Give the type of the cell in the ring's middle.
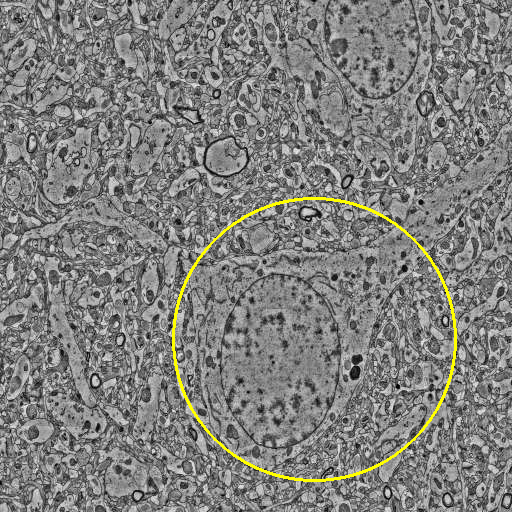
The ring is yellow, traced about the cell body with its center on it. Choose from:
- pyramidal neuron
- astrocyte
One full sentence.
Here, a pyramidal neuron is the cell lying at the center of the yellow ring.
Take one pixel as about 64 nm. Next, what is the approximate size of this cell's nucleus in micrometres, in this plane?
The nucleus comes to roughly 11 by 8 micrometres in this plane.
